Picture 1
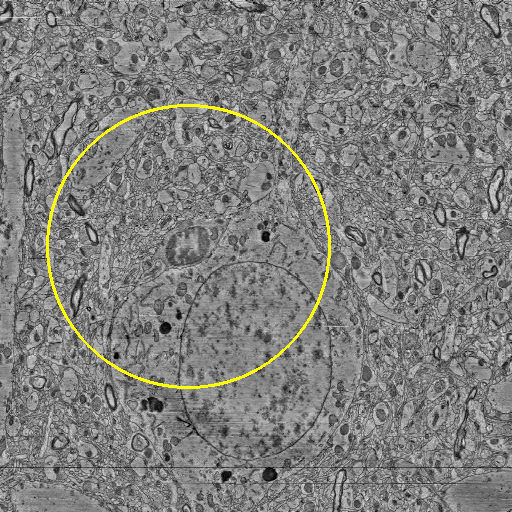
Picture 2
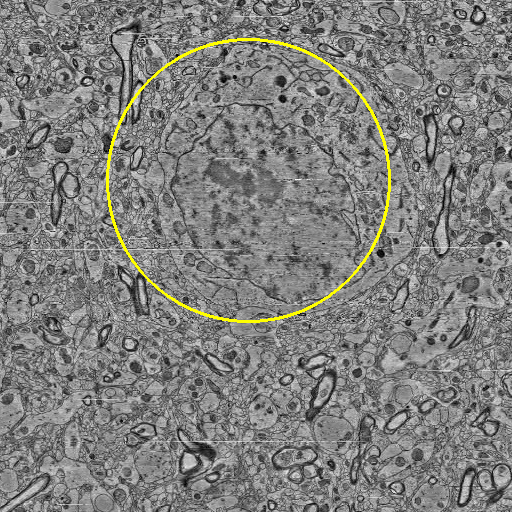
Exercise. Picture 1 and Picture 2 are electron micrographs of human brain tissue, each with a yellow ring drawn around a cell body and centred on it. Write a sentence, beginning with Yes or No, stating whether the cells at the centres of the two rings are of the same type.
No, the cells at the centres of the rings are of two types.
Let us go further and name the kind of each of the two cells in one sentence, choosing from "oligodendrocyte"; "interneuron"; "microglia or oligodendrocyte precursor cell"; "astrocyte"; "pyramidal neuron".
The ring of the first picture is on an oligodendrocyte, the ring of the second on a pyramidal neuron.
